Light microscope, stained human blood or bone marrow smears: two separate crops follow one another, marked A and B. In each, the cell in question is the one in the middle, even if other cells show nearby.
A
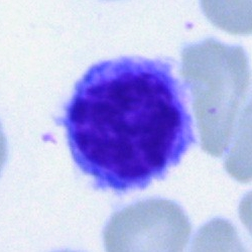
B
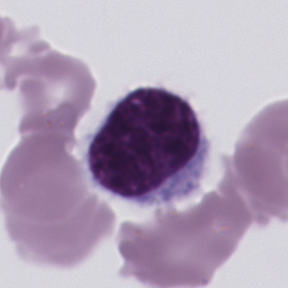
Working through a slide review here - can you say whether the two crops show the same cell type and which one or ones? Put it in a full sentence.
Yes, hairy cells are the cells in the middle of both crops.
